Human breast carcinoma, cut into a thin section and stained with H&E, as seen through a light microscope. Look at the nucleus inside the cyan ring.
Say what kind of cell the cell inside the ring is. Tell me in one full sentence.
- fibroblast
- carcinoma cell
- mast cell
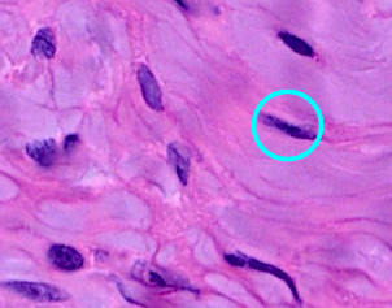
The identity of the cell inside the ring: it is a fibroblast.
